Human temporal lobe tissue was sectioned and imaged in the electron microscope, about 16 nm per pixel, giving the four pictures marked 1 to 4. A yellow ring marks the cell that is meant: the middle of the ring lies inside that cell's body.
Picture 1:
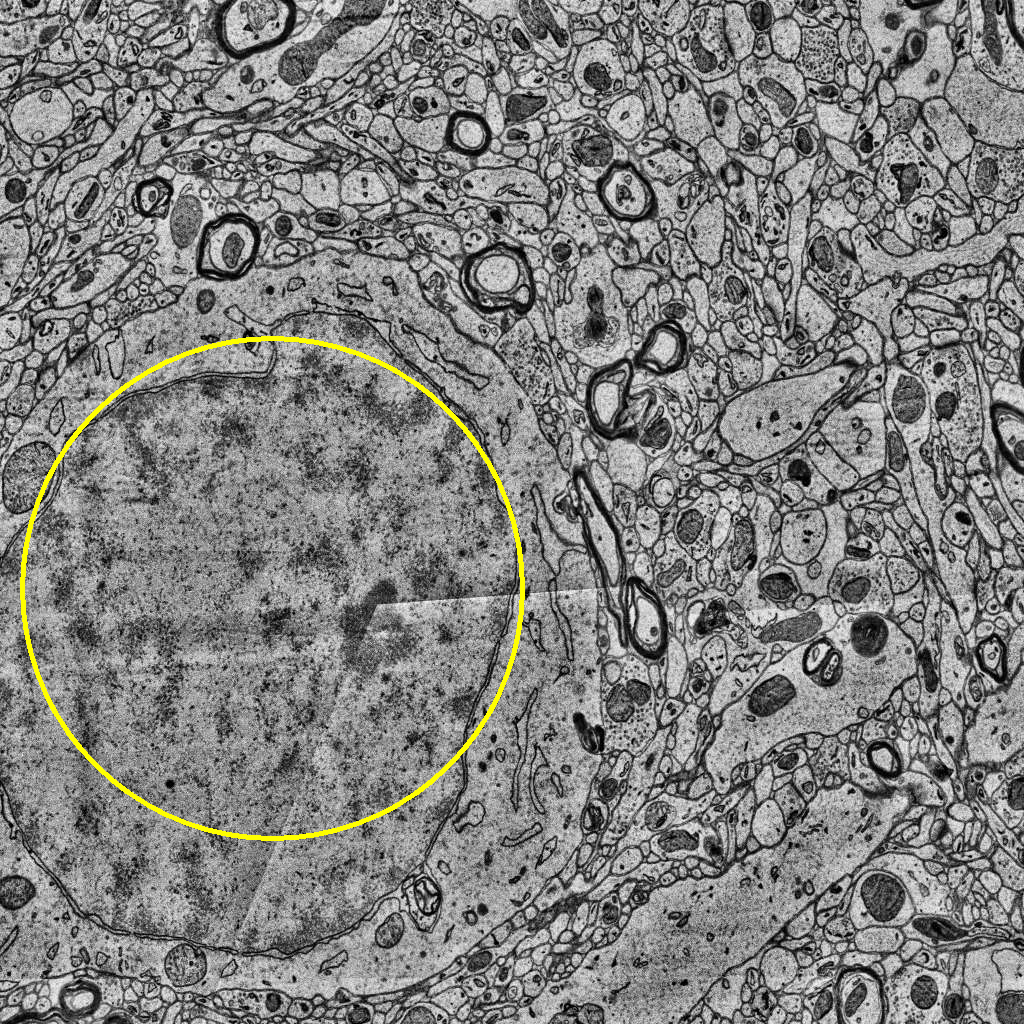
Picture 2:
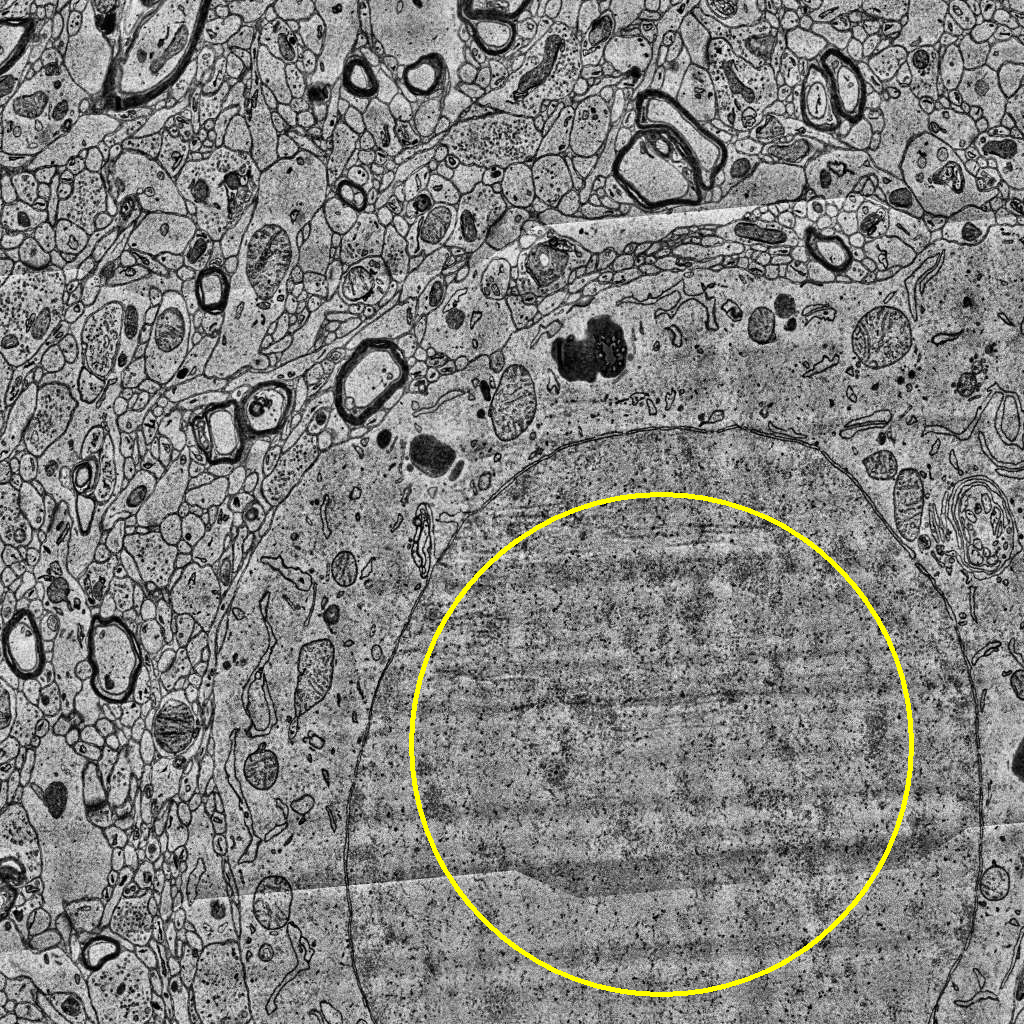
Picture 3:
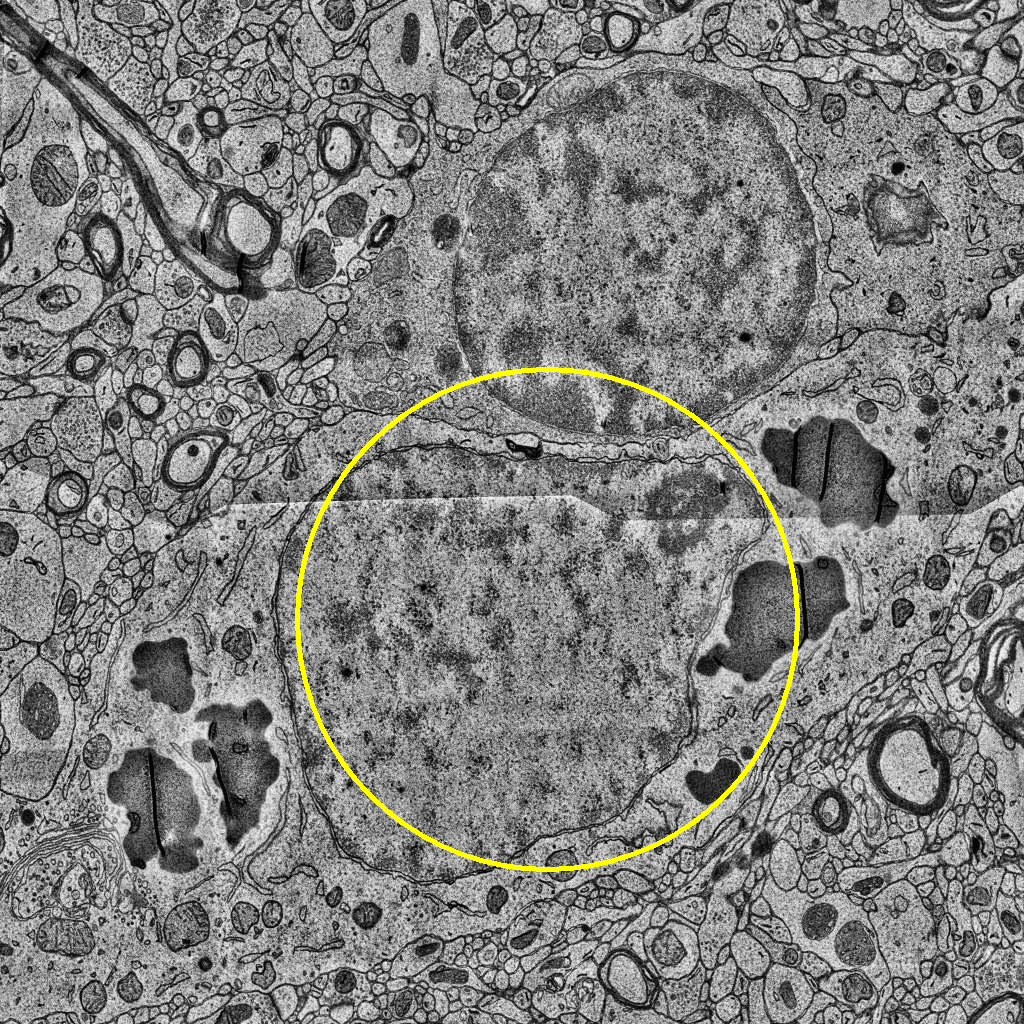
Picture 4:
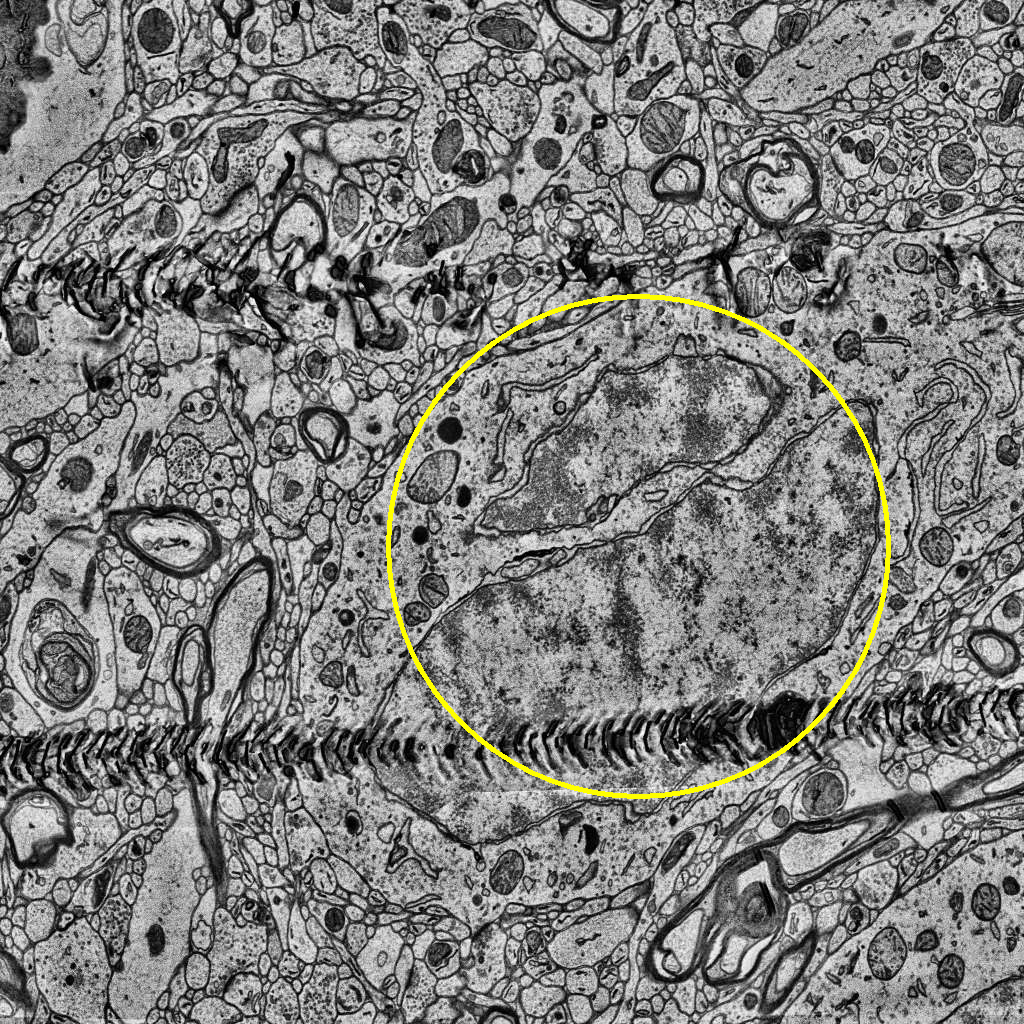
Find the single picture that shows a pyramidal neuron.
The cell in picture 2 is the pyramidal neuron.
